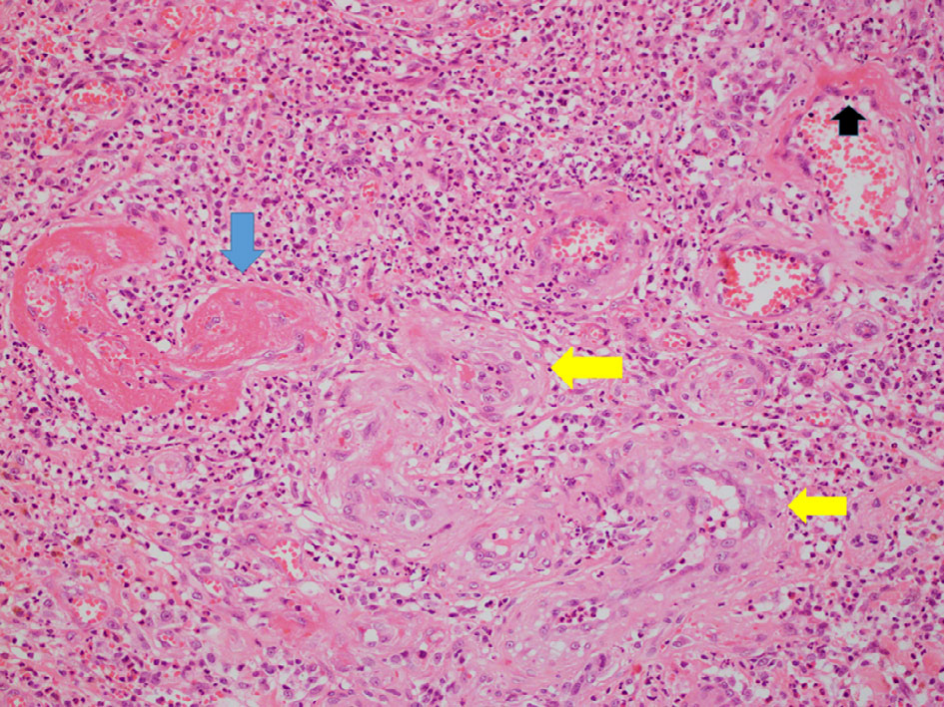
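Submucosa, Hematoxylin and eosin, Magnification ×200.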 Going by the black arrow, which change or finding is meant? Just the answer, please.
subendothelial fibrin deposits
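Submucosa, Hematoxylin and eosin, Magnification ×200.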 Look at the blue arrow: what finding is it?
fibrin thrombi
